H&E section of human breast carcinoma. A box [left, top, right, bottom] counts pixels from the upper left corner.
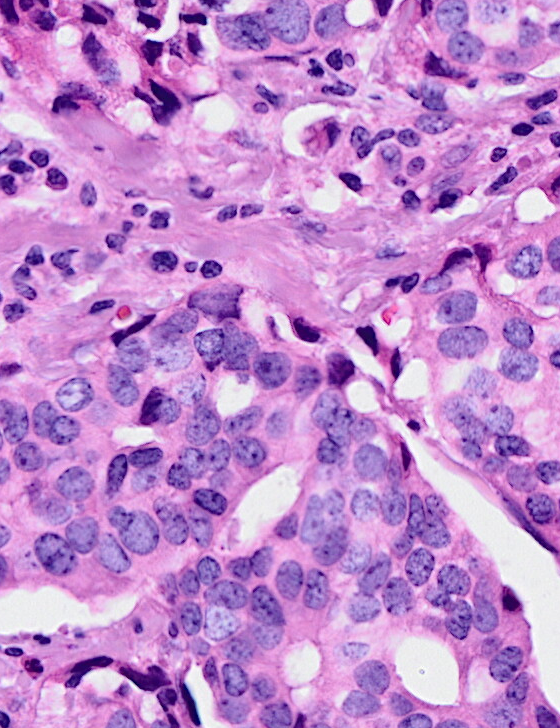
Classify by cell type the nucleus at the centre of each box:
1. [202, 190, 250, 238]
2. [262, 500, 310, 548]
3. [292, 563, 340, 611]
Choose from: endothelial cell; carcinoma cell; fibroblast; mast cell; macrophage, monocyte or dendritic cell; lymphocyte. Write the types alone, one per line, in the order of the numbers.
lymphocyte
carcinoma cell
carcinoma cell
